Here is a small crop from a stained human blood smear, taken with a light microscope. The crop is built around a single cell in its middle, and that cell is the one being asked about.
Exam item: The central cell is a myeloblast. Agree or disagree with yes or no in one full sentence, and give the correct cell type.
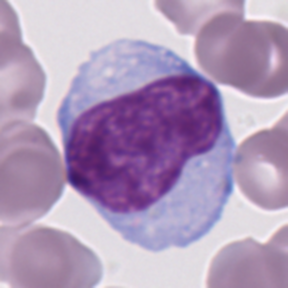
Yes, the cell in the center of this crop is a myeloblast.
